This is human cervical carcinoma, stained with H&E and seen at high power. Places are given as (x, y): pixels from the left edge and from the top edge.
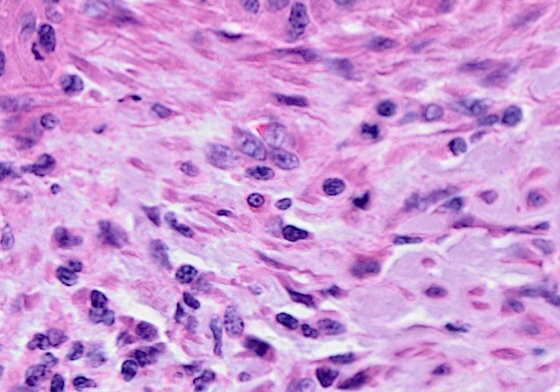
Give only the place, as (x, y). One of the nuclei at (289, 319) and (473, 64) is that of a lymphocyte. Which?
(289, 319)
